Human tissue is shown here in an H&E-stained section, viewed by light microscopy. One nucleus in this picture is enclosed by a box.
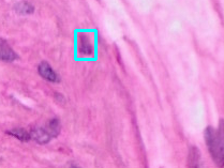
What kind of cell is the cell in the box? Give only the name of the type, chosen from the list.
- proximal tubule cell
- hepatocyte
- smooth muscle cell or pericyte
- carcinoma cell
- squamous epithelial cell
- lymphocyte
smooth muscle cell or pericyte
